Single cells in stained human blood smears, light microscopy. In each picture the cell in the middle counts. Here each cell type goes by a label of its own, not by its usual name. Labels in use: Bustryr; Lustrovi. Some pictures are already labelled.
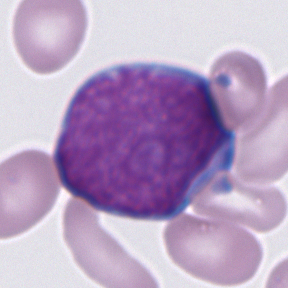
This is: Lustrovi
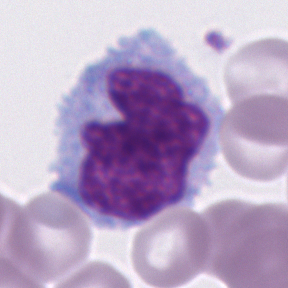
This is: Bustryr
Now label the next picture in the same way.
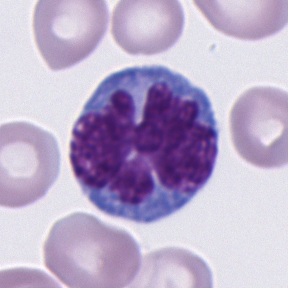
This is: Bustryr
